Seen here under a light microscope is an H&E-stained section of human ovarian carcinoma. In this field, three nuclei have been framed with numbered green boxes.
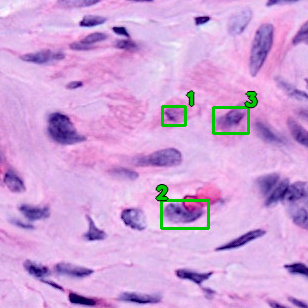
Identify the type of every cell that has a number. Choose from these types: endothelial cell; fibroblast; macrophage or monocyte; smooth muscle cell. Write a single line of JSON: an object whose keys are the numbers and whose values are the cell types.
{"1": "smooth muscle cell", "2": "endothelial cell", "3": "smooth muscle cell"}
